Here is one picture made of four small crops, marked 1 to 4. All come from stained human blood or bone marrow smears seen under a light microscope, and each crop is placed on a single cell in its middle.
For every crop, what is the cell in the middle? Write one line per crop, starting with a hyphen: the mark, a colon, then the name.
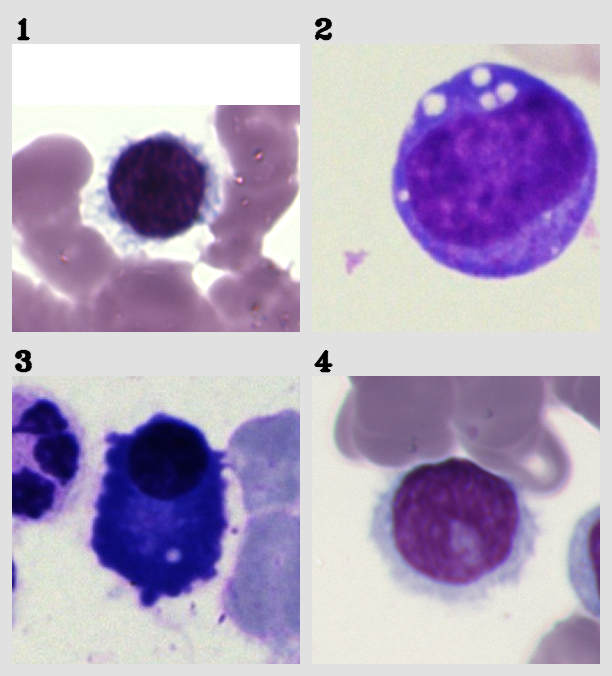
- 1: hairy cell
- 2: blast
- 3: plasma cell
- 4: hairy cell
